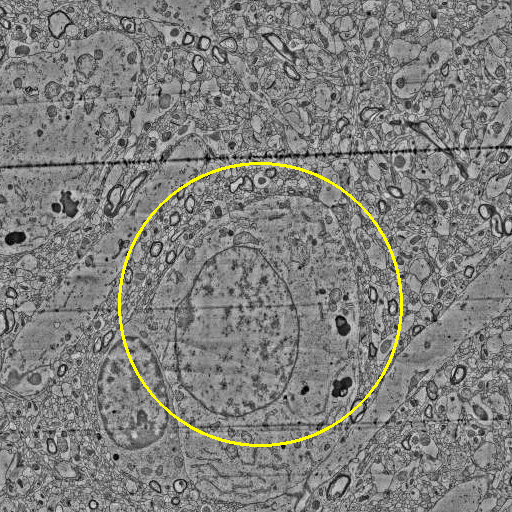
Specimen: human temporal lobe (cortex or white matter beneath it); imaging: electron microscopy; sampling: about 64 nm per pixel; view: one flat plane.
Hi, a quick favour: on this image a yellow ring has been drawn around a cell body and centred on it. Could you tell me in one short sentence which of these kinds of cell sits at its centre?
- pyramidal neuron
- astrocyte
The ring is centred on a pyramidal neuron.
